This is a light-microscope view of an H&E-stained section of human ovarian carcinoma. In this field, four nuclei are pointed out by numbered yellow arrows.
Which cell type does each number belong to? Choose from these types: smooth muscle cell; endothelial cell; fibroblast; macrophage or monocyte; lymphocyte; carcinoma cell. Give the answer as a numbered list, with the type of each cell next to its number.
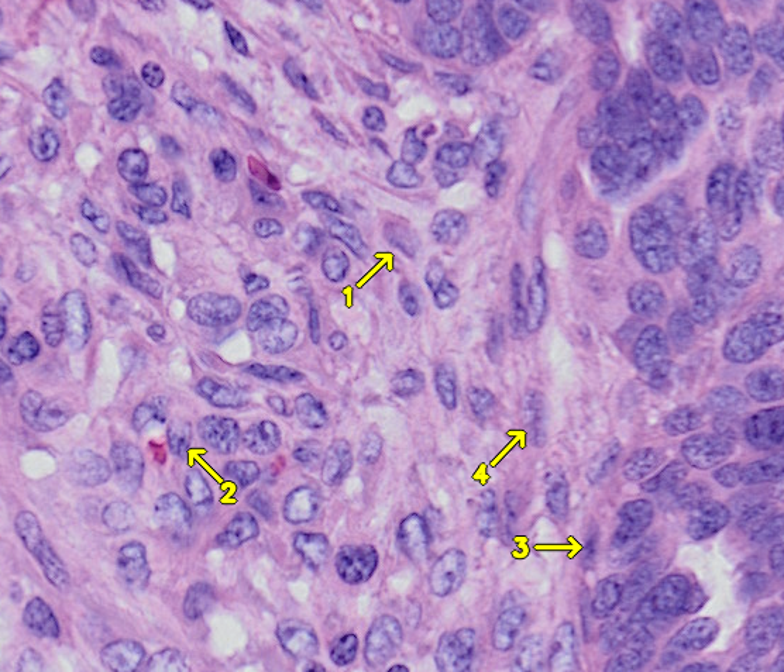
1. fibroblast
2. endothelial cell
3. fibroblast
4. fibroblast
